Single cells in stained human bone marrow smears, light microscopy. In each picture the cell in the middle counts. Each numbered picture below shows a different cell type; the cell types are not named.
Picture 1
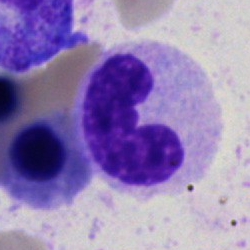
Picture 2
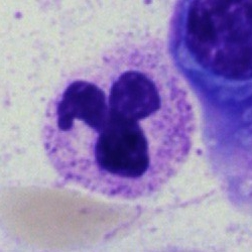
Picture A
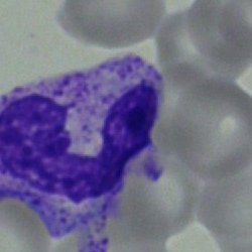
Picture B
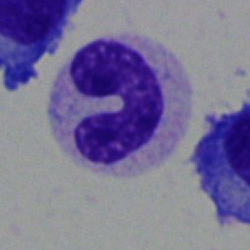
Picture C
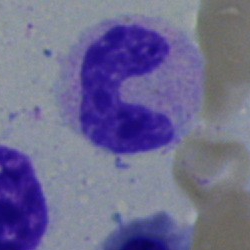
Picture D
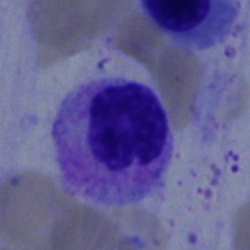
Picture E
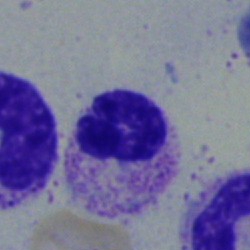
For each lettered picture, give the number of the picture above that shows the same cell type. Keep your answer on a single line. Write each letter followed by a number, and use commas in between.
A 1, B 1, C 1, D 1, E 1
